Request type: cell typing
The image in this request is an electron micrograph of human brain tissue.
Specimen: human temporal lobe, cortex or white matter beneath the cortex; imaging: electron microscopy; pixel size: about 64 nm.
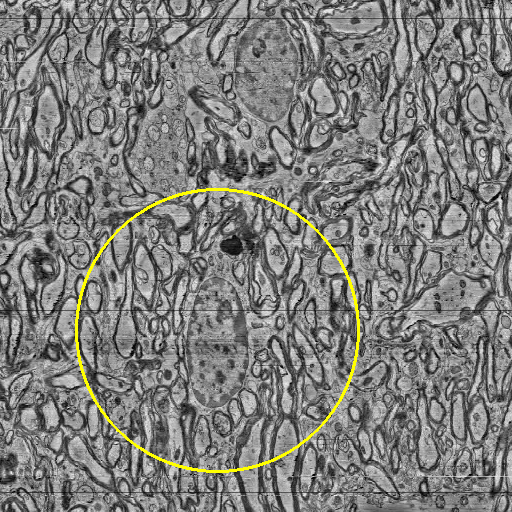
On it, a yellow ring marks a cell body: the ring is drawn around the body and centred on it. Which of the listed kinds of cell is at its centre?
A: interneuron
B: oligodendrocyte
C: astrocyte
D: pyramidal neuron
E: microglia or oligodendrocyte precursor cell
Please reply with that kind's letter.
E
